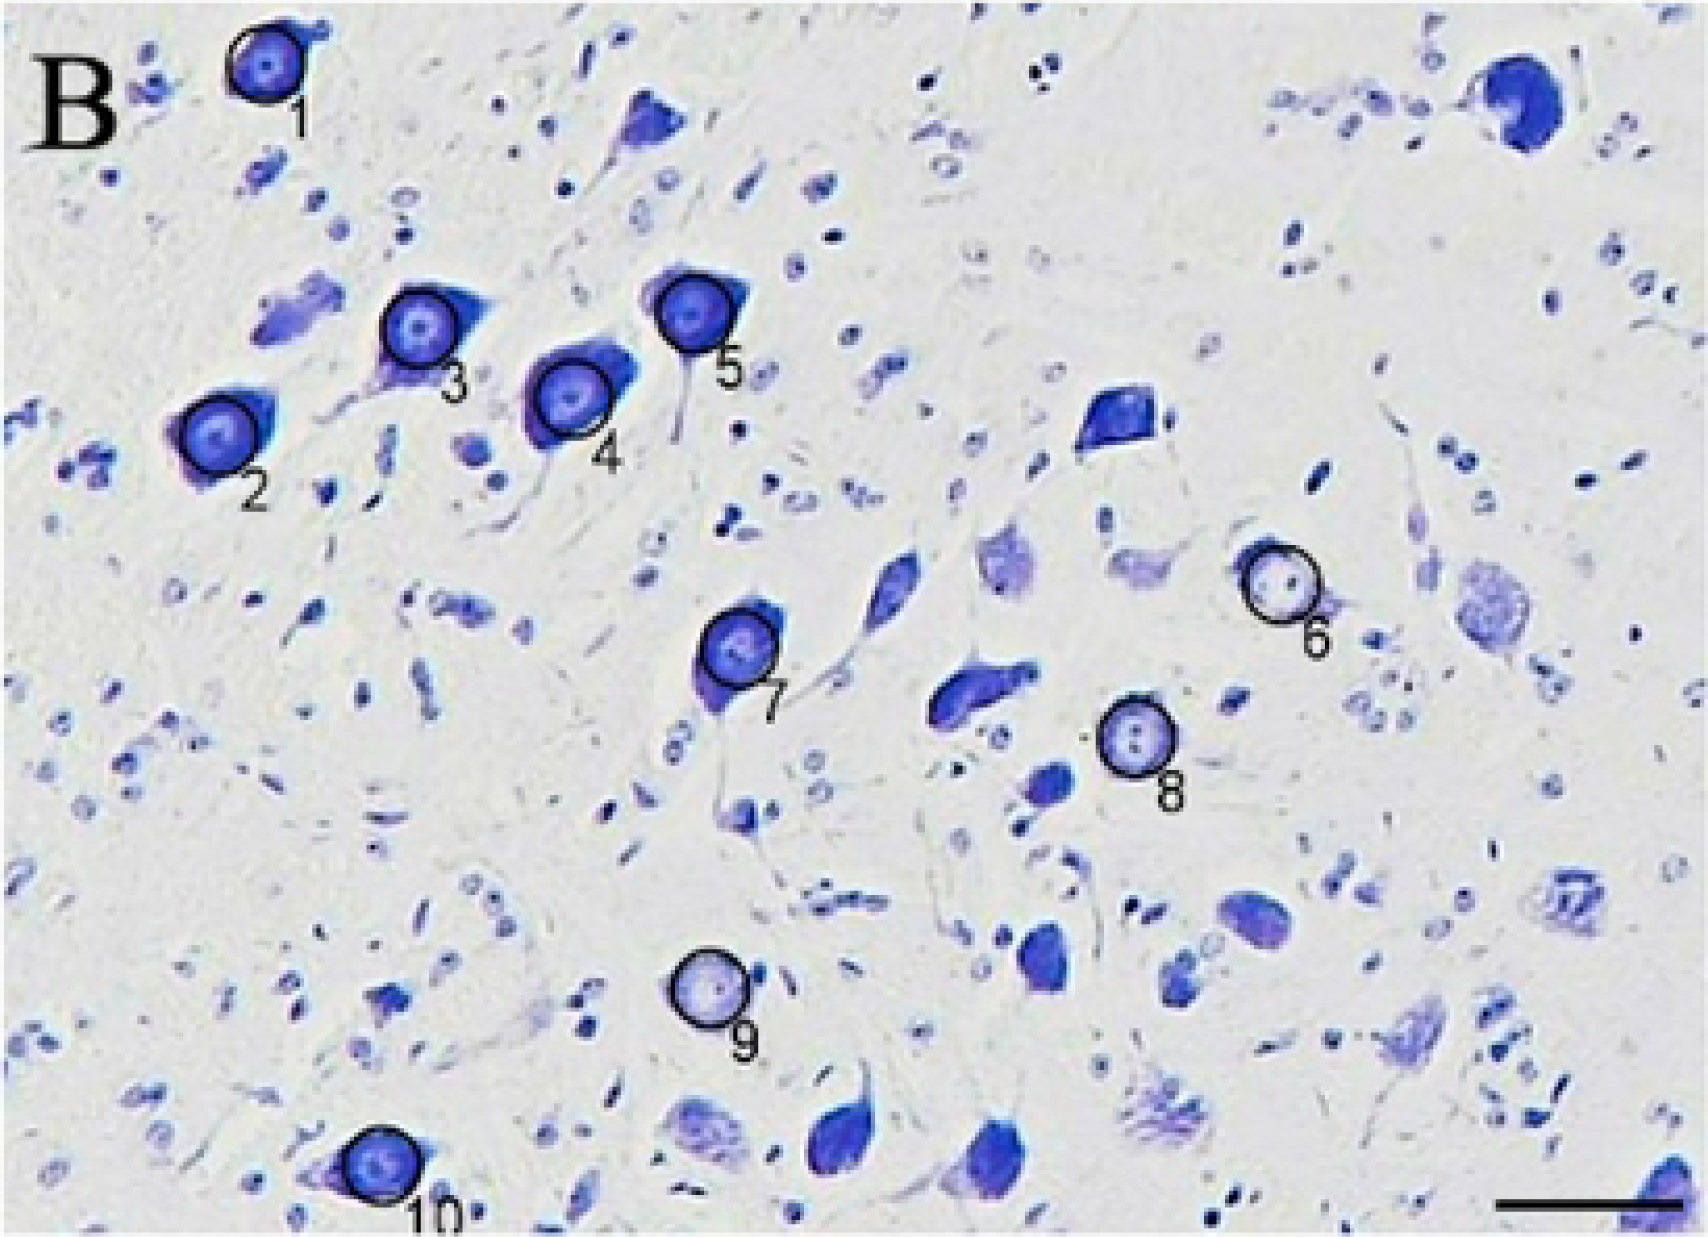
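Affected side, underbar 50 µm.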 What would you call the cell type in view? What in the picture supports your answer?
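Nerve cells. Large polygonal cell bodies with tapering processes. Much smaller dark nuclei of other cells scattered between them.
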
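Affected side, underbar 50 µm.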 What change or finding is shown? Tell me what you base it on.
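Densely stained cytoplasm. Many large cell bodies are stained a deep, uniform dark blue. The cytoplasm of these cells lacks distinct granules.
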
